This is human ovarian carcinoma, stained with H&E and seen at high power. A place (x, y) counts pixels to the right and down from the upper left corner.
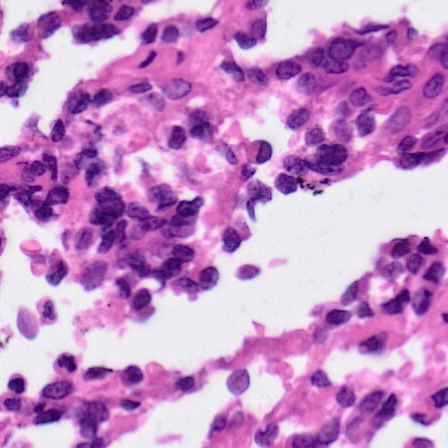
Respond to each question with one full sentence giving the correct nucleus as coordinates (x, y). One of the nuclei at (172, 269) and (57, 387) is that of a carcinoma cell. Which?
The correct choice is the nucleus at (172, 269), which belongs to a carcinoma cell.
